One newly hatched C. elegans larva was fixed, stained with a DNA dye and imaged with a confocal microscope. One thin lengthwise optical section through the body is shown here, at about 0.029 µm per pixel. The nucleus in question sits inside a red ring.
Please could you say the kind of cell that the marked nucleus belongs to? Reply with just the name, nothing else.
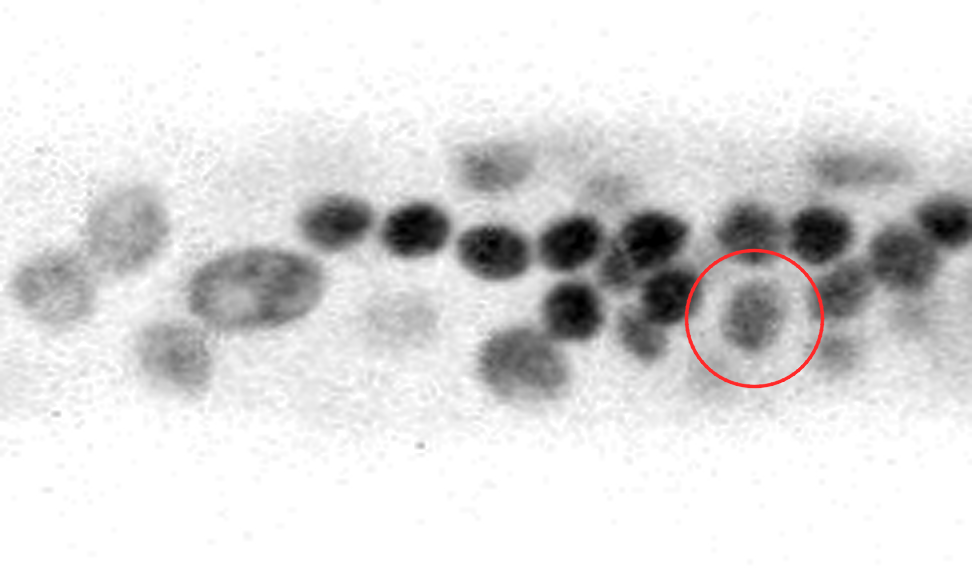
neuron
